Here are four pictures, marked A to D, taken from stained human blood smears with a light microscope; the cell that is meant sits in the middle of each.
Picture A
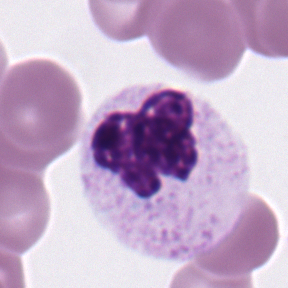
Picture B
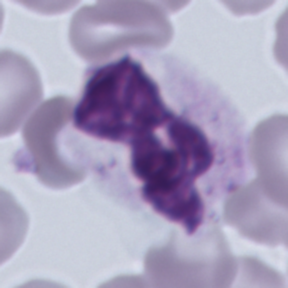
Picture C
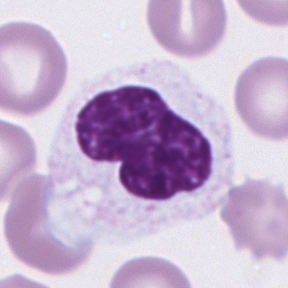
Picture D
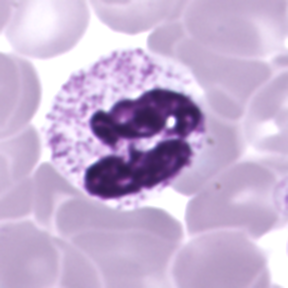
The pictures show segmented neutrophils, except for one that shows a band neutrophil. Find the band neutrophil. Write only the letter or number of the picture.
C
